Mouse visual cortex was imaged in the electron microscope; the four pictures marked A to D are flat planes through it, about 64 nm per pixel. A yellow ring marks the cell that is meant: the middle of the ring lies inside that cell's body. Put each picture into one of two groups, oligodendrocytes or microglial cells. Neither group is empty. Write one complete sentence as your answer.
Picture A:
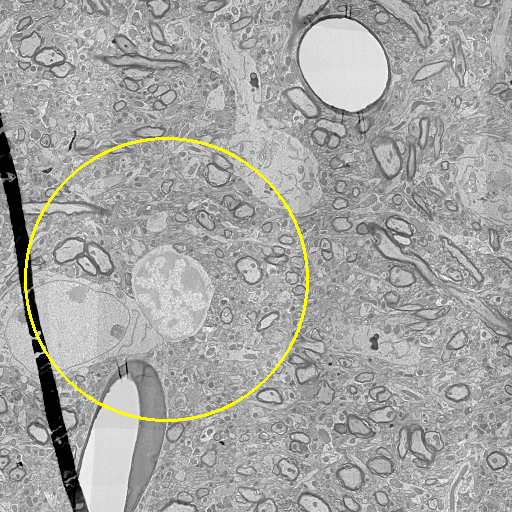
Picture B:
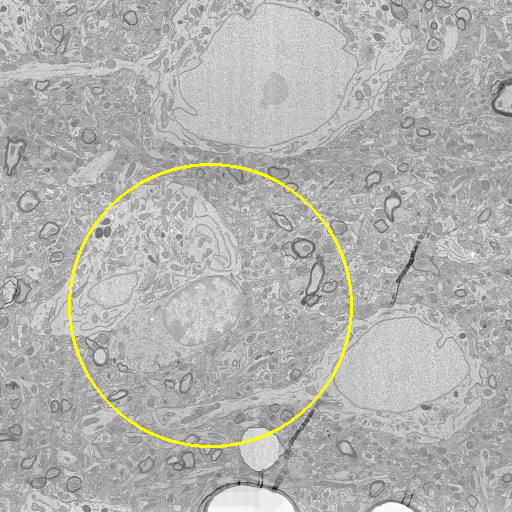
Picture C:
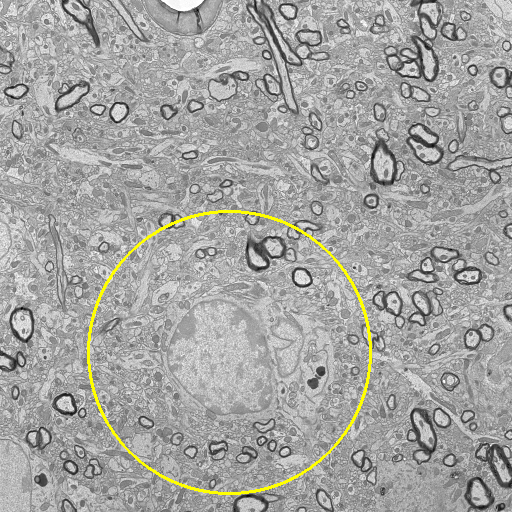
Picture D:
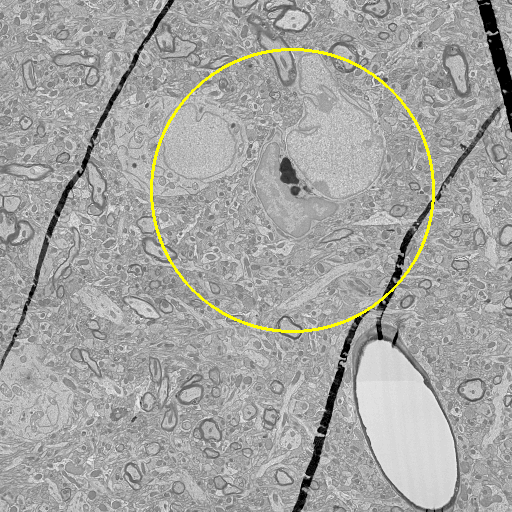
Pictures A, B and C show oligodendrocytes, while picture D shows a microglial cell.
